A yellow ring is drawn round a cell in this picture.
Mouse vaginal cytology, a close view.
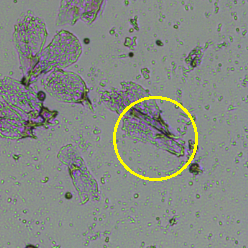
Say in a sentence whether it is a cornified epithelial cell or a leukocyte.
The cell in the ring is a cornified epithelial cell.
